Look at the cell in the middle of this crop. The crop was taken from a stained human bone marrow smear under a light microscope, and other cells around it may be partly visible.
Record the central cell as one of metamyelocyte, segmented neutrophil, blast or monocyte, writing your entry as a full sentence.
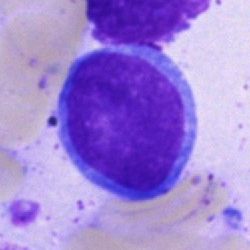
Among the cells in view, the one in the middle is a blast.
